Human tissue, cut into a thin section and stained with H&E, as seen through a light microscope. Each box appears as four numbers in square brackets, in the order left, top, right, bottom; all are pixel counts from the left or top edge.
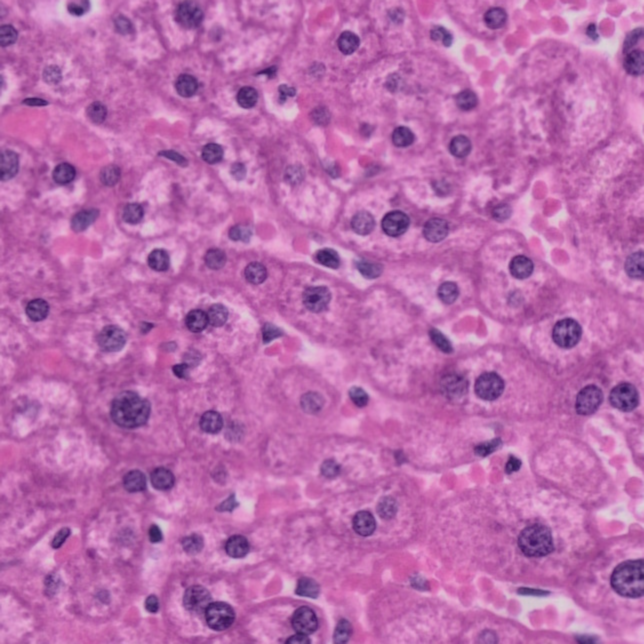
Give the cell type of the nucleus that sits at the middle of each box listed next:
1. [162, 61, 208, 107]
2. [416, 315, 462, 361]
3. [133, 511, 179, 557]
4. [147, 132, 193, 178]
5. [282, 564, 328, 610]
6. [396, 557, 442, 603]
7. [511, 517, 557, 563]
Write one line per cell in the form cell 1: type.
cell 1: hepatocyte
cell 2: fibroblast or stellate cell
cell 3: lymphocyte
cell 4: fibroblast or stellate cell
cell 5: endothelial cell
cell 6: endothelial cell
cell 7: hepatocyte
